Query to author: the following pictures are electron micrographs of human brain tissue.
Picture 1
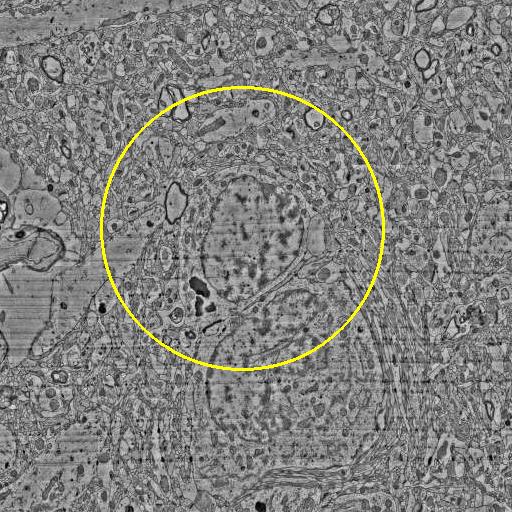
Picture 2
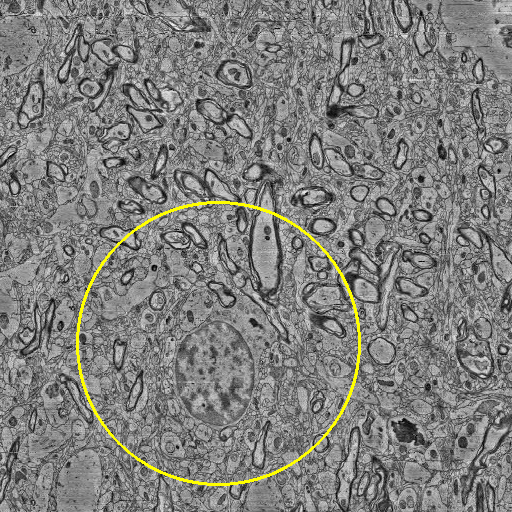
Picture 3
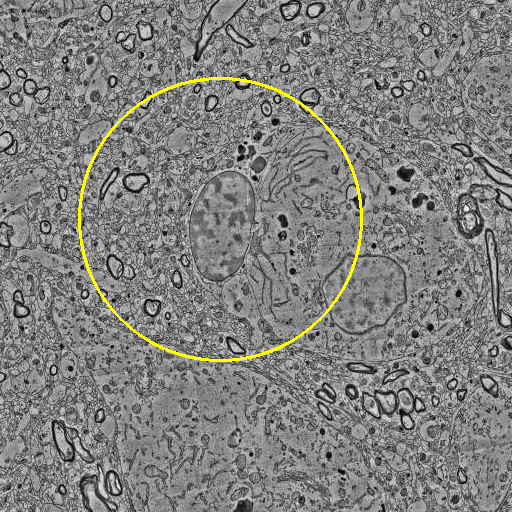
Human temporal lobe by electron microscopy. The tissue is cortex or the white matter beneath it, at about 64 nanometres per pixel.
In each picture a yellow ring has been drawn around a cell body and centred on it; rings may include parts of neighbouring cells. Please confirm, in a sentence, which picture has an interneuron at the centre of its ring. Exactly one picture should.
Picture 1 has it at the centre of its ring.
